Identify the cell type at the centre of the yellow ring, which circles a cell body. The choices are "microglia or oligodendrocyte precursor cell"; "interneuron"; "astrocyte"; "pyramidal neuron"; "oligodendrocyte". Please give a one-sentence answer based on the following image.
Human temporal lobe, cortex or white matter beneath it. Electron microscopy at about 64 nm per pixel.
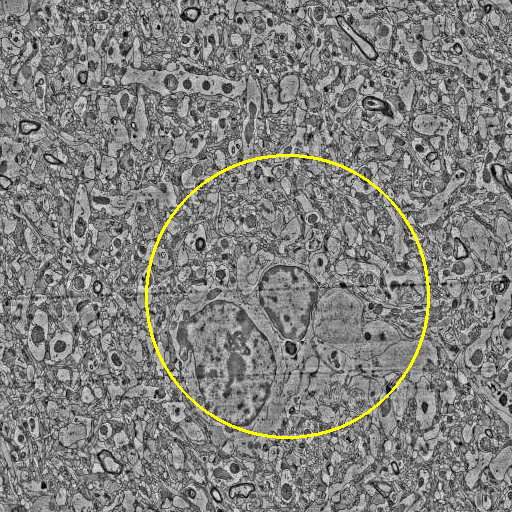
The cell marked by the ring is a microglial cell or oligodendrocyte precursor cell.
